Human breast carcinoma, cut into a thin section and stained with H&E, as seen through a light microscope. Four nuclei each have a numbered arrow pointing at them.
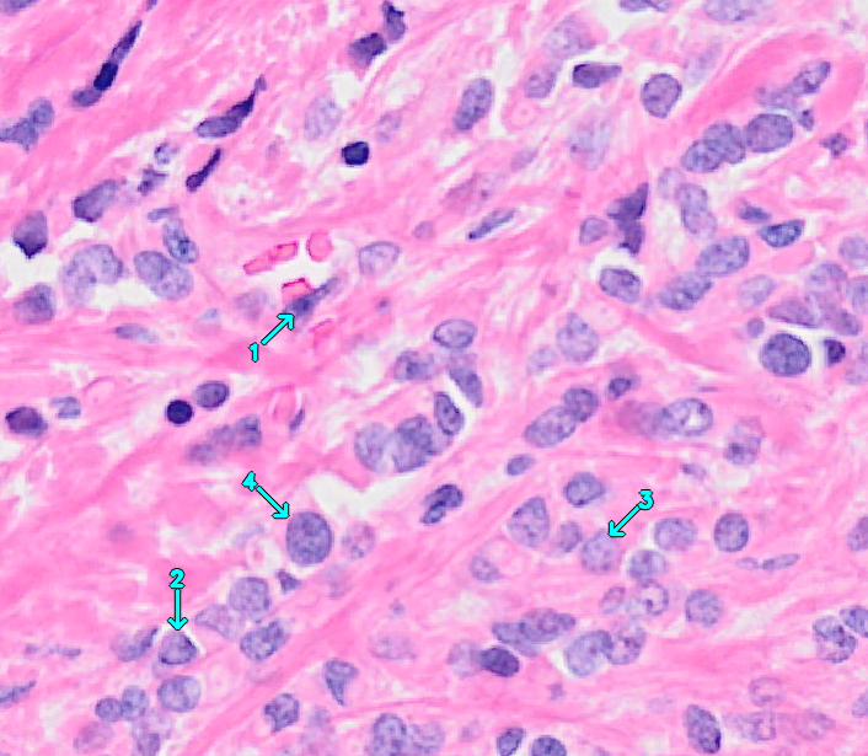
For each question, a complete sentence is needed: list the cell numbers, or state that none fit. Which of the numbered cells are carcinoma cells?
Cells 2, 3 and 4 are classified as carcinoma cells.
